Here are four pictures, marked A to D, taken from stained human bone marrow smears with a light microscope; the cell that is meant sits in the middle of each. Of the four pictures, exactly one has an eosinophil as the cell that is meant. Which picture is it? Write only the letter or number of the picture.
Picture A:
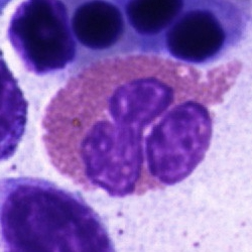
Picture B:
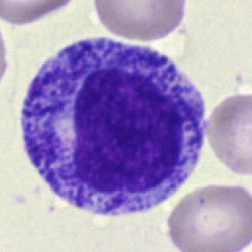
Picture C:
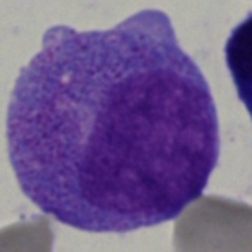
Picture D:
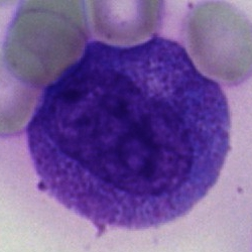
A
